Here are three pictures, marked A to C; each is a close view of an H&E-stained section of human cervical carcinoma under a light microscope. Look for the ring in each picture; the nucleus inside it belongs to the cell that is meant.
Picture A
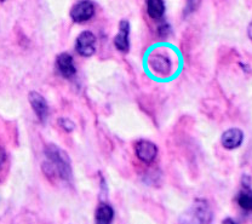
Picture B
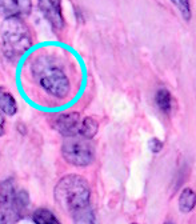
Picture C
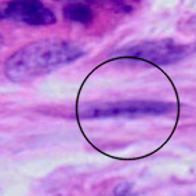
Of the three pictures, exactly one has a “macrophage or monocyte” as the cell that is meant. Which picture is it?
A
